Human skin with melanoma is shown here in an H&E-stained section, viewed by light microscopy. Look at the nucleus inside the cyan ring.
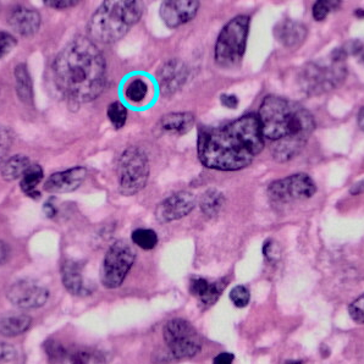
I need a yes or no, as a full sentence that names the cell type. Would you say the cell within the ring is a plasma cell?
No, scored properly, the cell within the ring is a lymphocyte rather than a plasma cell.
